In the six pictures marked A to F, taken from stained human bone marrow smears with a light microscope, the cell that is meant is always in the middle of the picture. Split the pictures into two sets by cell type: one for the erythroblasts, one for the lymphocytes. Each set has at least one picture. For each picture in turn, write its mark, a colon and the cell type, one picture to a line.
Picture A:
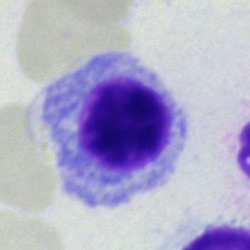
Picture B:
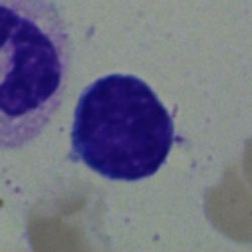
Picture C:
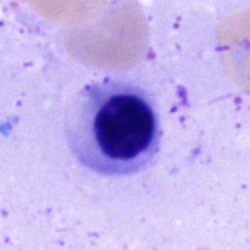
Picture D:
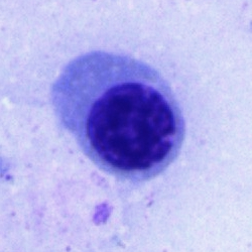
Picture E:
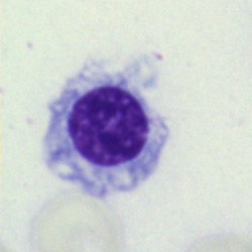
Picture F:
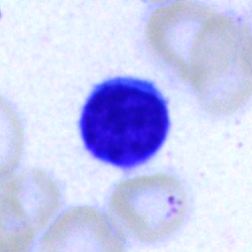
A: erythroblast
B: lymphocyte
C: erythroblast
D: erythroblast
E: erythroblast
F: lymphocyte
